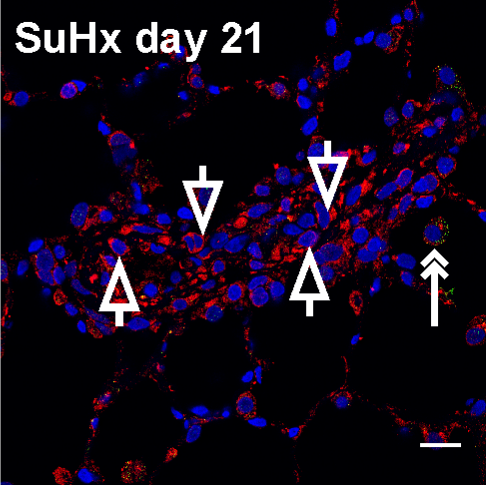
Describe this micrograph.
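A dense mass of crowded cells with round to oval blue nuclei fills the centre, most cells outlined by red surface and cytoplasmic signal; green granules are absent from these cells. The mass is surrounded by dark alveolar spaces bounded by thin walls carrying scattered red dots and flattened nuclei. At the right edge, in an air space, lies a single small cell with faint granular green dots around its nucleus.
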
